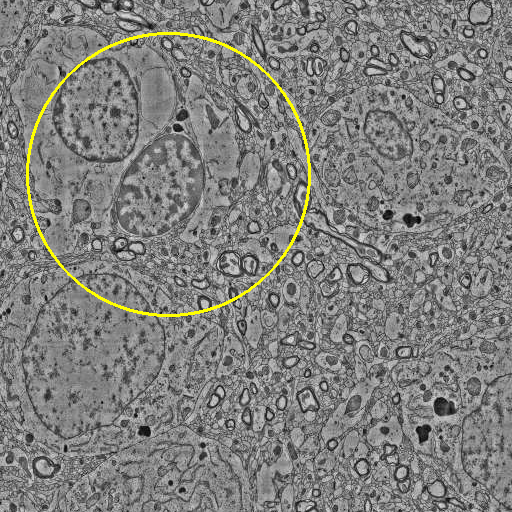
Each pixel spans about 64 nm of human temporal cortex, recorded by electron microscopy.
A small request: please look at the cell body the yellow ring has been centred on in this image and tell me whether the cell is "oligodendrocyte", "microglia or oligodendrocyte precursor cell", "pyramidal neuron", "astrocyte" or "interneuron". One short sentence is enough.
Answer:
The cell marked by the ring is a microglial cell or oligodendrocyte precursor cell.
